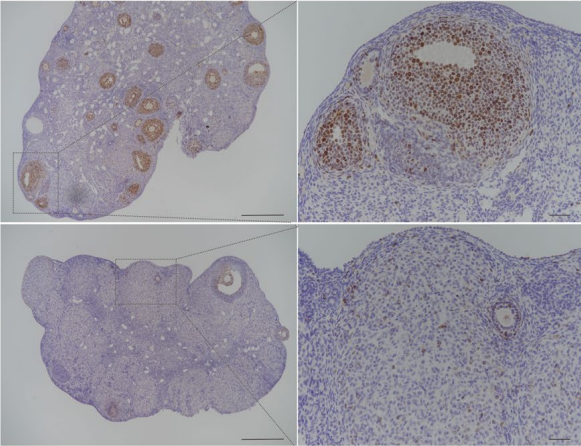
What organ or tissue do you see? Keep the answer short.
Ovary.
